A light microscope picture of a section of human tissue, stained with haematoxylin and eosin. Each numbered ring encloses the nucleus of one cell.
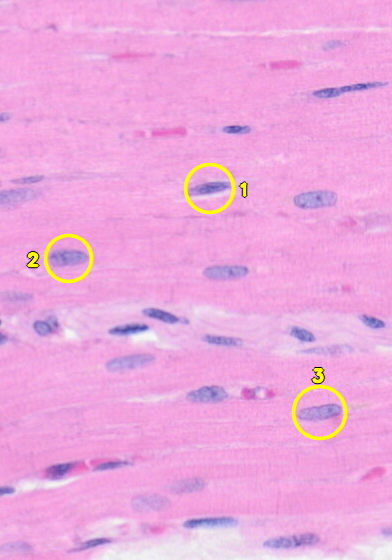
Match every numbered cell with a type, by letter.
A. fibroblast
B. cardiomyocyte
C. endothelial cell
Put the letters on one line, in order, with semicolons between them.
C; B; B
